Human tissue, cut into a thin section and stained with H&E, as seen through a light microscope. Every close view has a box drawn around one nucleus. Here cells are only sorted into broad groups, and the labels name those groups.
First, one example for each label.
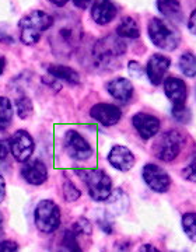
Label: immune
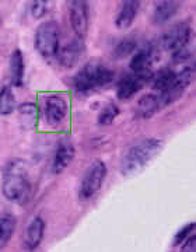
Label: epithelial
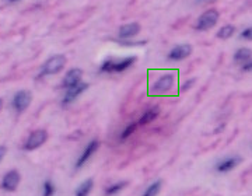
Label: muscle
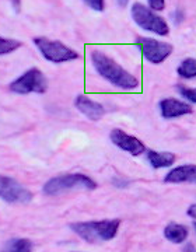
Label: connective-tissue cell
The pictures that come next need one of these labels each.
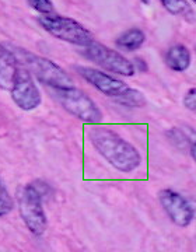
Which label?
muscle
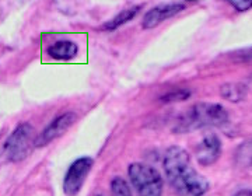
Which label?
immune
